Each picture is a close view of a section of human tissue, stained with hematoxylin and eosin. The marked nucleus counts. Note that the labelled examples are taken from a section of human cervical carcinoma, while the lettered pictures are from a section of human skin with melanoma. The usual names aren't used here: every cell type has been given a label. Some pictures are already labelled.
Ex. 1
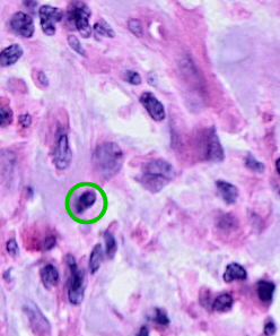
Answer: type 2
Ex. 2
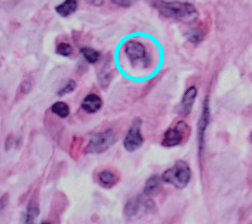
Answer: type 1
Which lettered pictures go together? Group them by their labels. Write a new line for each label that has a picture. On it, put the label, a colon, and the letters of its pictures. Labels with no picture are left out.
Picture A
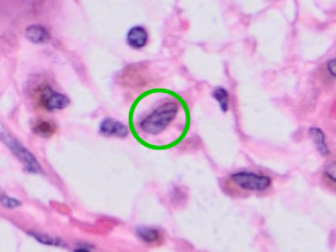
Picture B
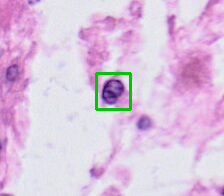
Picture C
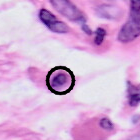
type 1: A, B, C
